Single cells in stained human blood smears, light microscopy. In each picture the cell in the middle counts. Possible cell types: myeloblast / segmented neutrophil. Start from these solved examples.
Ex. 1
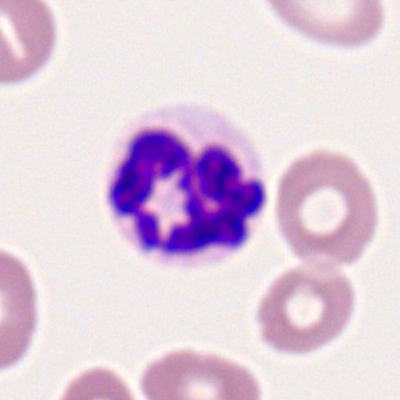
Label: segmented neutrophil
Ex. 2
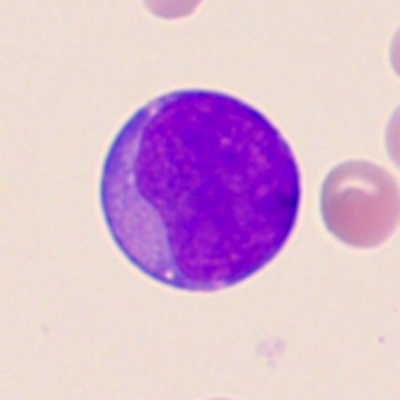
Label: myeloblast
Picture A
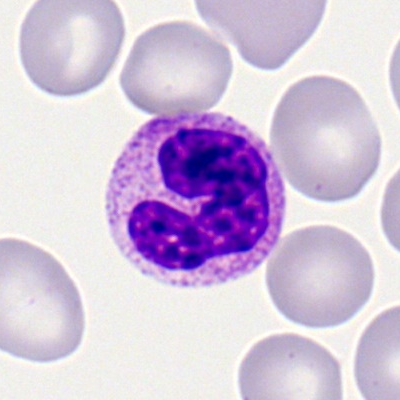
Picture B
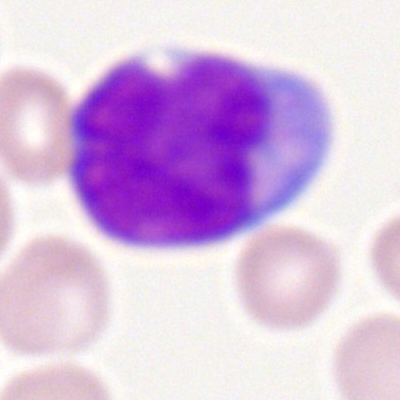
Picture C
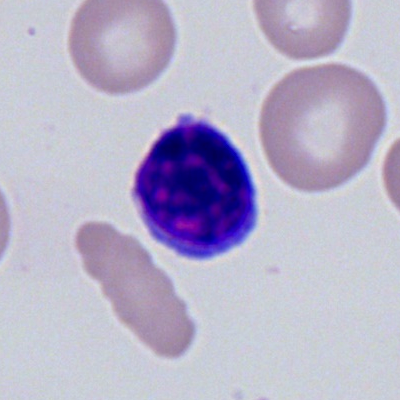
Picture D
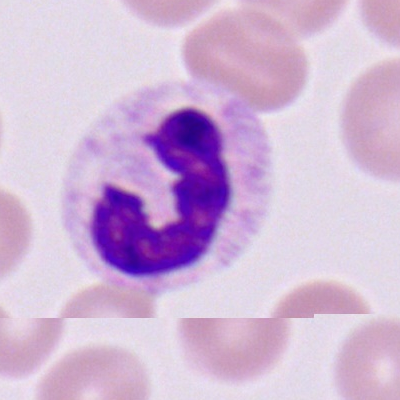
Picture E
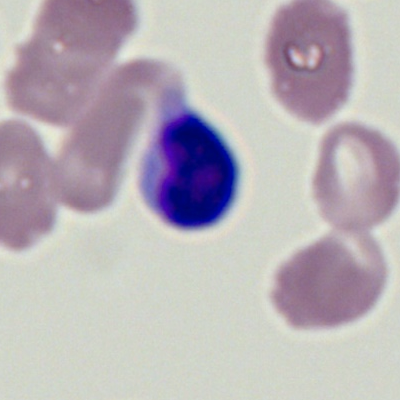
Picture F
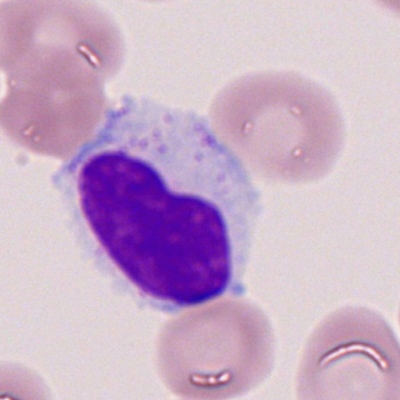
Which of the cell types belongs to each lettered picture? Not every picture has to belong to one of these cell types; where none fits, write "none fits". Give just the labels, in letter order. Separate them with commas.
segmented neutrophil, myeloblast, none fits, segmented neutrophil, none fits, none fits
